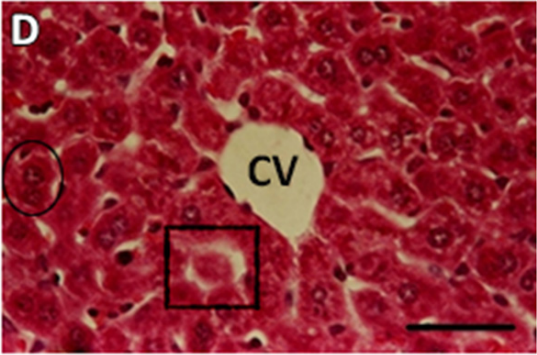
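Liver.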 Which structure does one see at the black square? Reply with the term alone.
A: sinusoids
